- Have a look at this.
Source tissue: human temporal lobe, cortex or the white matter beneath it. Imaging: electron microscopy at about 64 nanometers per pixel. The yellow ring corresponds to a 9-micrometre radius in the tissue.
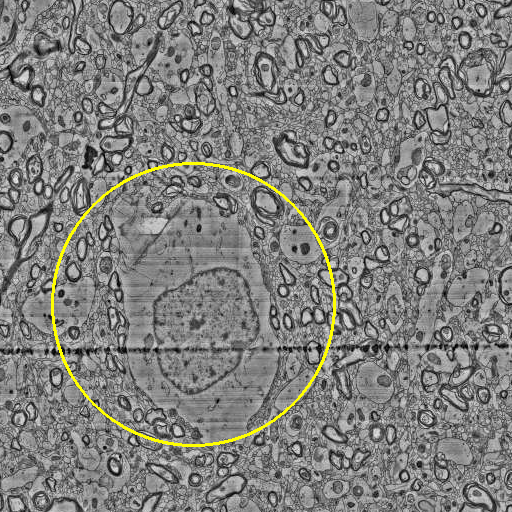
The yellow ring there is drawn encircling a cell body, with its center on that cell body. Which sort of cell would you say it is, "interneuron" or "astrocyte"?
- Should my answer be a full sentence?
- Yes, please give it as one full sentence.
For this picture, an astrocyte is the cell where the yellow ring has its center.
